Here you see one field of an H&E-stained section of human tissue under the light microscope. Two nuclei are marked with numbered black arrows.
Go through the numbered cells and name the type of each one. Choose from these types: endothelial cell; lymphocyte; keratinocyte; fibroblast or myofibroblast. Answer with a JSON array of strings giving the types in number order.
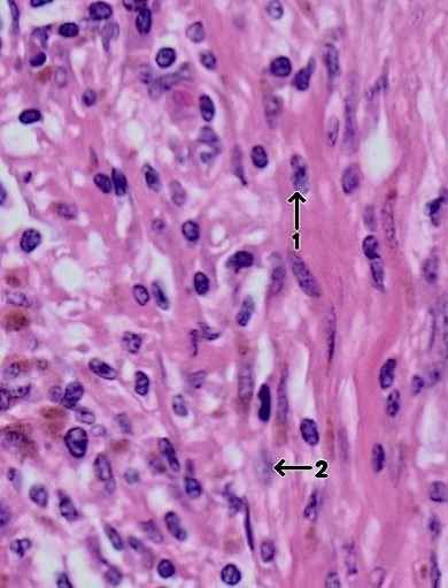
["lymphocyte", "fibroblast or myofibroblast"]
